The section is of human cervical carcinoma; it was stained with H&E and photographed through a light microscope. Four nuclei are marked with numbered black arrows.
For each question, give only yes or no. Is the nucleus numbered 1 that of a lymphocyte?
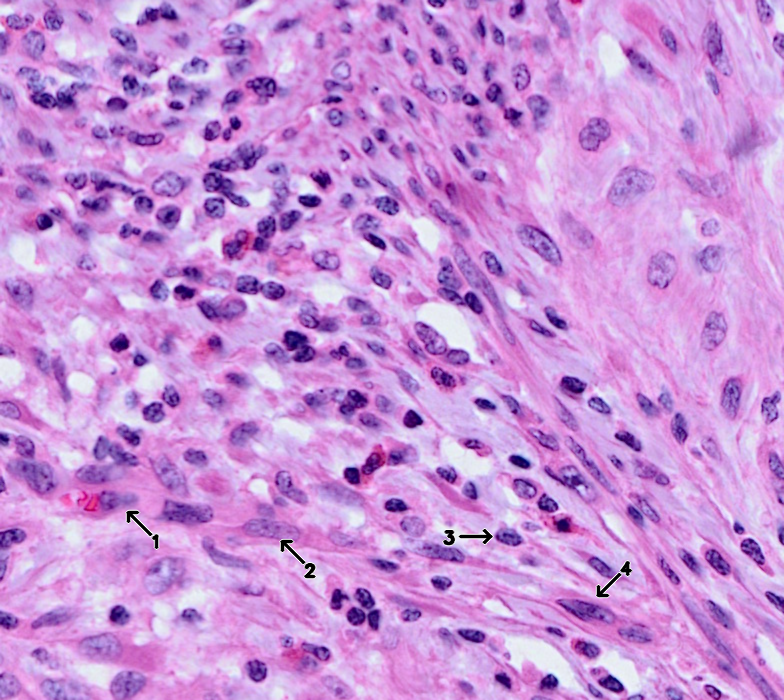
no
